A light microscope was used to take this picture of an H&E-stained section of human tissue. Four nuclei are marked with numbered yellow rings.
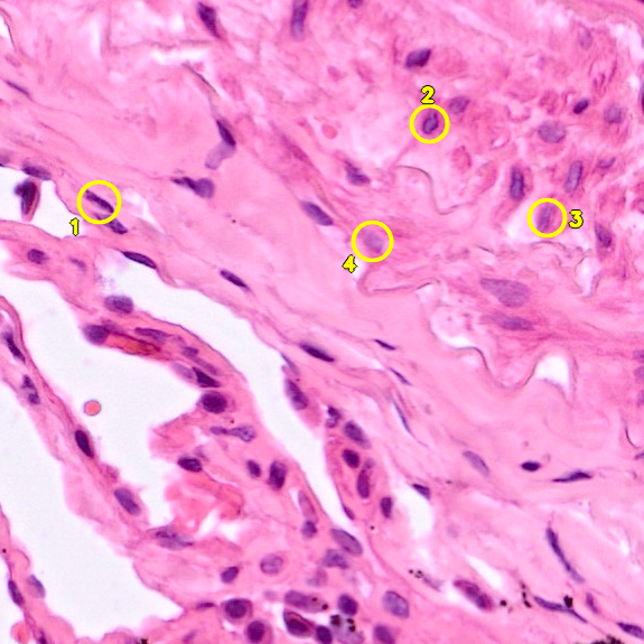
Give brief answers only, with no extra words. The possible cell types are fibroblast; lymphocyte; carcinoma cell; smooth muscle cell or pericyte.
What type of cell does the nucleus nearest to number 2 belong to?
smooth muscle cell or pericyte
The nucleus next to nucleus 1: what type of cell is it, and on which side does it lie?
a fibroblast below and to the right of nucleus 1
